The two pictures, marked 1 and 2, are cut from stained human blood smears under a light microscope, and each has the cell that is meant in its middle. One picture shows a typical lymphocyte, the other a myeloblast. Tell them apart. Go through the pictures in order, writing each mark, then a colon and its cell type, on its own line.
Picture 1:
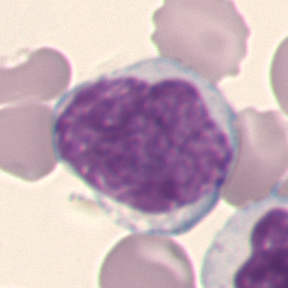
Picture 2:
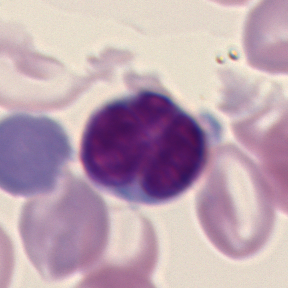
1: myeloblast
2: typical lymphocyte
